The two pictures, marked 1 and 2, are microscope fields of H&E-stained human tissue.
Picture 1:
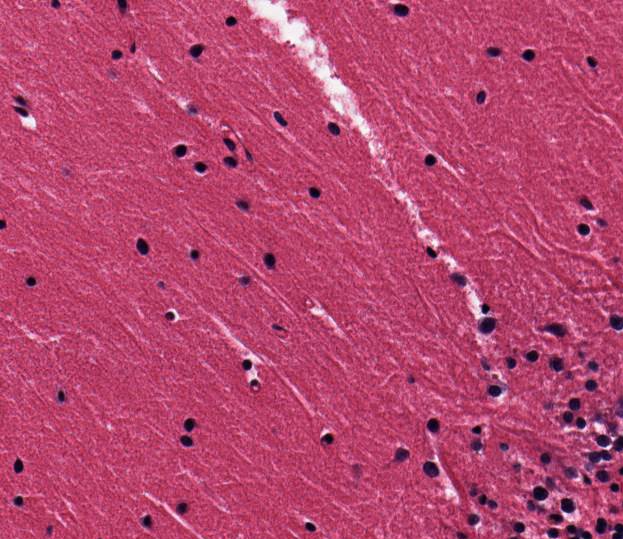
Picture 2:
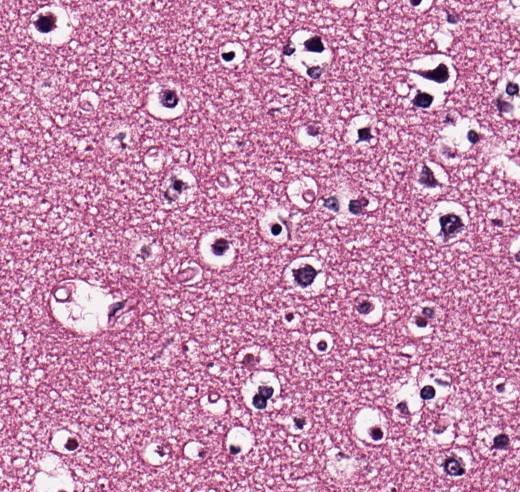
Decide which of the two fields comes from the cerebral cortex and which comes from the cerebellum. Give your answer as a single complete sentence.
Picture 1 comes from the cerebellum; picture 2 comes from the cerebral cortex.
